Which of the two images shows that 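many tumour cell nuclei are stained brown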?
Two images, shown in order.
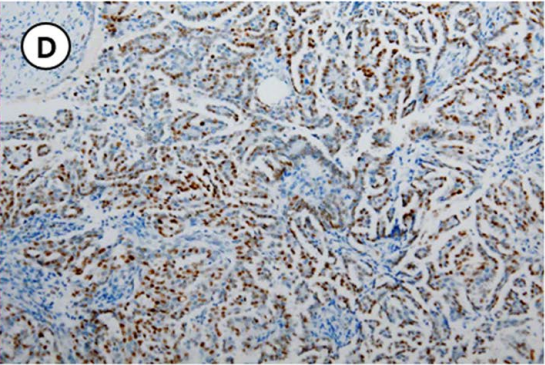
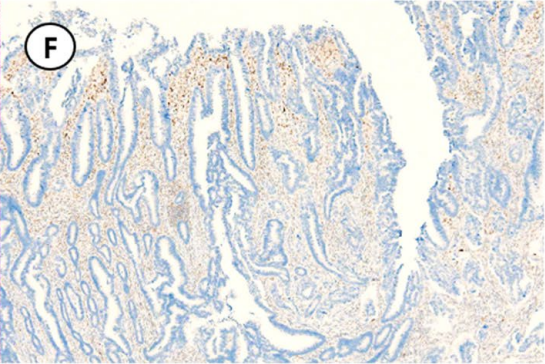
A: The first image.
